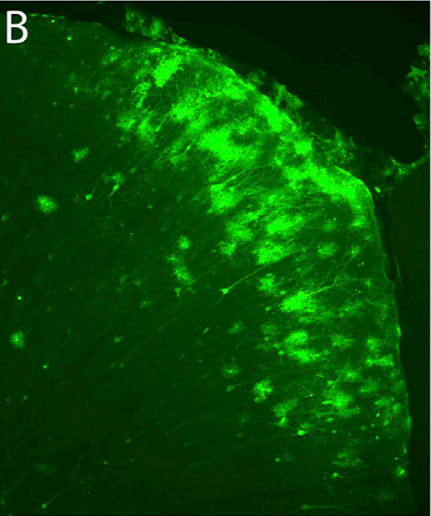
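This is cerebral cortex where many cells glow green, most of them astrocytes. Each astrocyte appears as a round, fuzzy tuft of fine bushy processes around a small bright centre, and they crowd in a band toward the outer surface. Scattered among them are a few smaller cell bodies that send out long, thin, straight processes, as neurons do. Fine green fibres run through the tissue between the labeled cells.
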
